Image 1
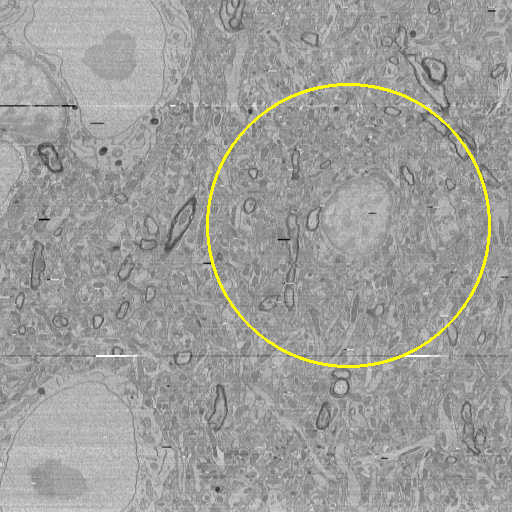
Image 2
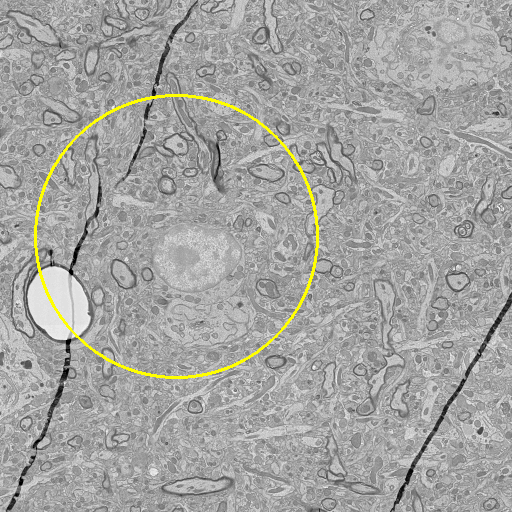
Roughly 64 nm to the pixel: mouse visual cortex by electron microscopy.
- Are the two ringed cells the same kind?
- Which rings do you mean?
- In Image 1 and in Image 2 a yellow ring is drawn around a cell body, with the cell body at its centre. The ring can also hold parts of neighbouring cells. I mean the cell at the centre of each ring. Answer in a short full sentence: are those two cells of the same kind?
Yes, both cells are of the same kind.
